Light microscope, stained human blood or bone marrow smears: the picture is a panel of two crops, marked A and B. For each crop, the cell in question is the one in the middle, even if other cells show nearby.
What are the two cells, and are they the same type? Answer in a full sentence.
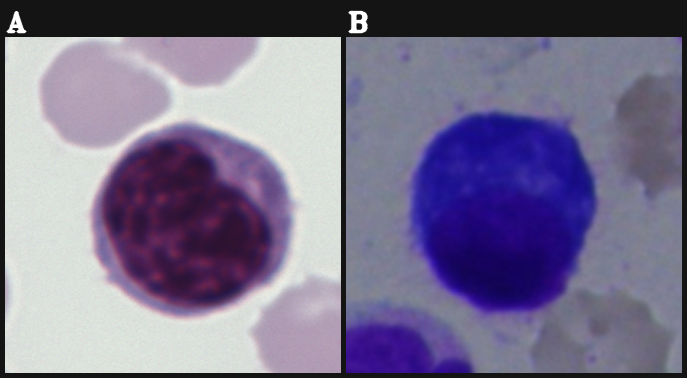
No, crop A is where an erythroblast is shown, and crop B is where a plasma cell is shown.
